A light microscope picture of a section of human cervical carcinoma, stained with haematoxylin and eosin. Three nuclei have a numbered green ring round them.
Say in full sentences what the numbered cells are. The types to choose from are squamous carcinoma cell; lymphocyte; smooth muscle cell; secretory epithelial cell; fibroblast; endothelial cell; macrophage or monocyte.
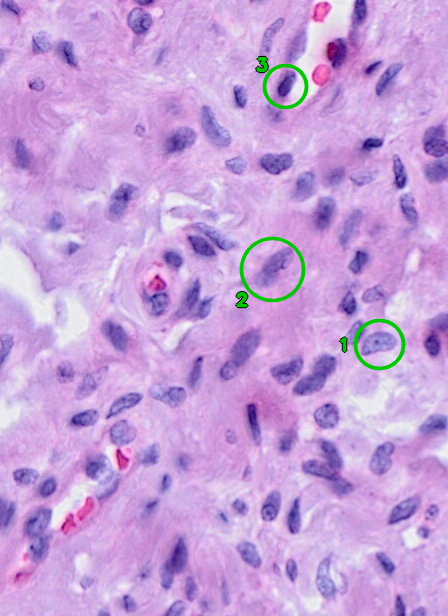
Cell 1 is a fibroblast, cell 2 is a fibroblast and cell 3 is an endothelial cell.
